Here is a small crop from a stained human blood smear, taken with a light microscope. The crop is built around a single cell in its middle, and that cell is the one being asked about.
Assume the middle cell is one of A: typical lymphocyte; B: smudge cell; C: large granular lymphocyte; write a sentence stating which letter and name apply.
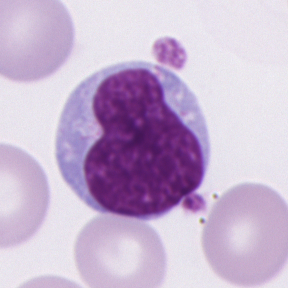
Option A is correct; the cell in the middle is a typical lymphocyte.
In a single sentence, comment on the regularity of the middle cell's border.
No projections interrupt the outline; it is smooth all the way round.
